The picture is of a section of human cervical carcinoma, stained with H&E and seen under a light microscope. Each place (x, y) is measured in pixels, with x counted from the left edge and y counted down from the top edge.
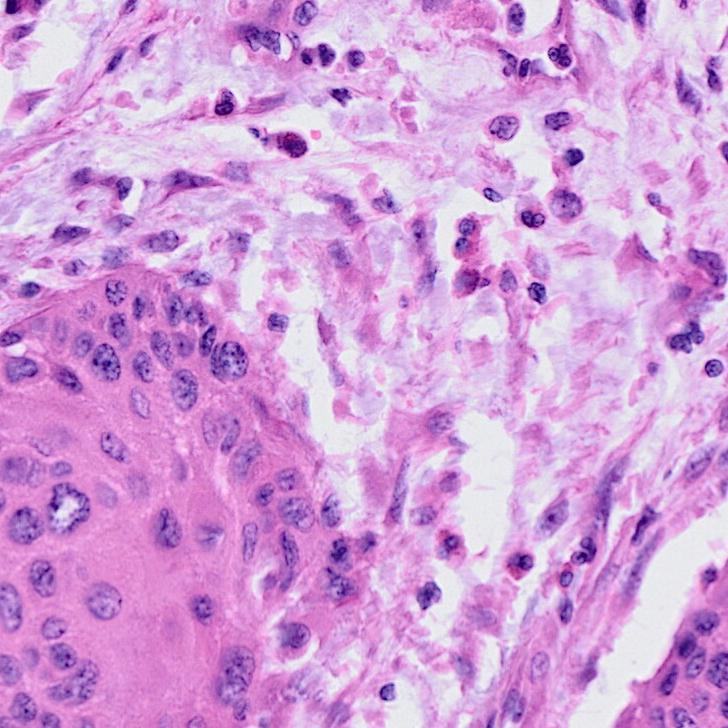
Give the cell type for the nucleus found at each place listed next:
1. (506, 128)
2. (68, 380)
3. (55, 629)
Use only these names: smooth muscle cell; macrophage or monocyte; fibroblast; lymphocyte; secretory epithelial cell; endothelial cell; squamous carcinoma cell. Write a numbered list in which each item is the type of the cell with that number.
1. macrophage or monocyte
2. squamous carcinoma cell
3. squamous carcinoma cell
